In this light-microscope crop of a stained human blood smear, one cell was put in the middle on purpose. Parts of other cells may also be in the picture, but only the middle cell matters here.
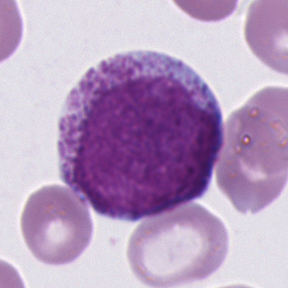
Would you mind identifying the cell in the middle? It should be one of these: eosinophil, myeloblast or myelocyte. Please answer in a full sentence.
The middle cell in this particular crop is a myelocyte.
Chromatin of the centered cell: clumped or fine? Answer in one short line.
The chromatin here is fine and lacks any coarse clumps.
